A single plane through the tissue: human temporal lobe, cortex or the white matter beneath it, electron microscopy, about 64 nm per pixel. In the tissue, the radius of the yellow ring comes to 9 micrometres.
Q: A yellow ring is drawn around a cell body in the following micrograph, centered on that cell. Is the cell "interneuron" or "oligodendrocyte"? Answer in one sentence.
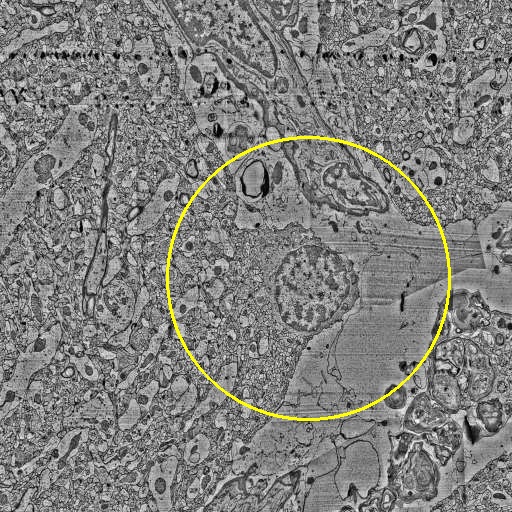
The cell in the center of the ring is an oligodendrocyte.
